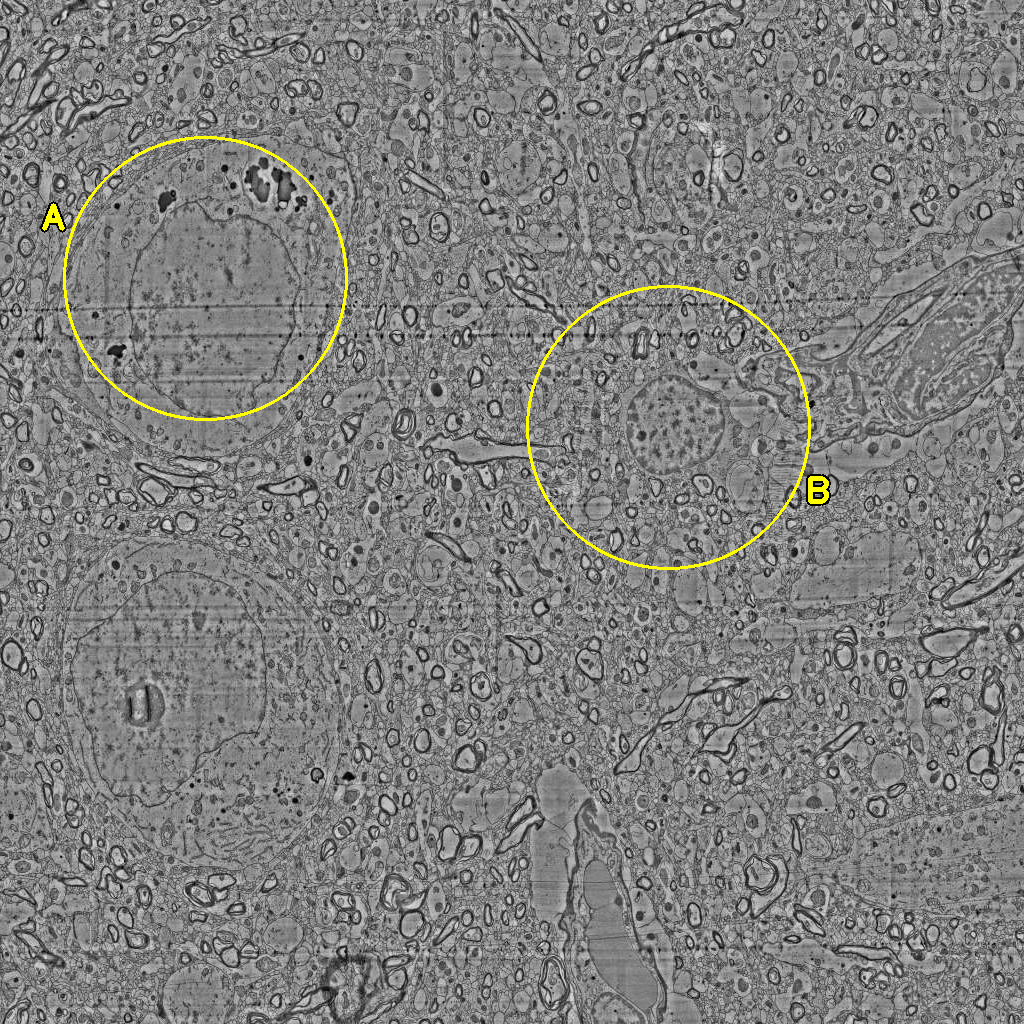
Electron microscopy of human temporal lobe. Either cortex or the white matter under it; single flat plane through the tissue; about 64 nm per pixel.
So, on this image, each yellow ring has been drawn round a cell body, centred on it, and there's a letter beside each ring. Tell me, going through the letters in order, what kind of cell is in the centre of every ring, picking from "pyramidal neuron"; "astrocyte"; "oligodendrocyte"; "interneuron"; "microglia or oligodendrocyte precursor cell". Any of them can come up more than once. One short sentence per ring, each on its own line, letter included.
Ring A has been drawn round a pyramidal neuron.
Ring B has been drawn round an oligodendrocyte.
